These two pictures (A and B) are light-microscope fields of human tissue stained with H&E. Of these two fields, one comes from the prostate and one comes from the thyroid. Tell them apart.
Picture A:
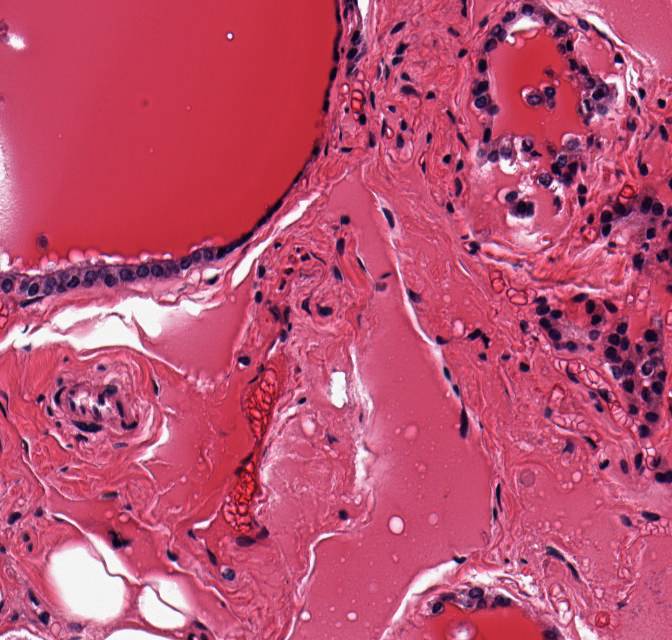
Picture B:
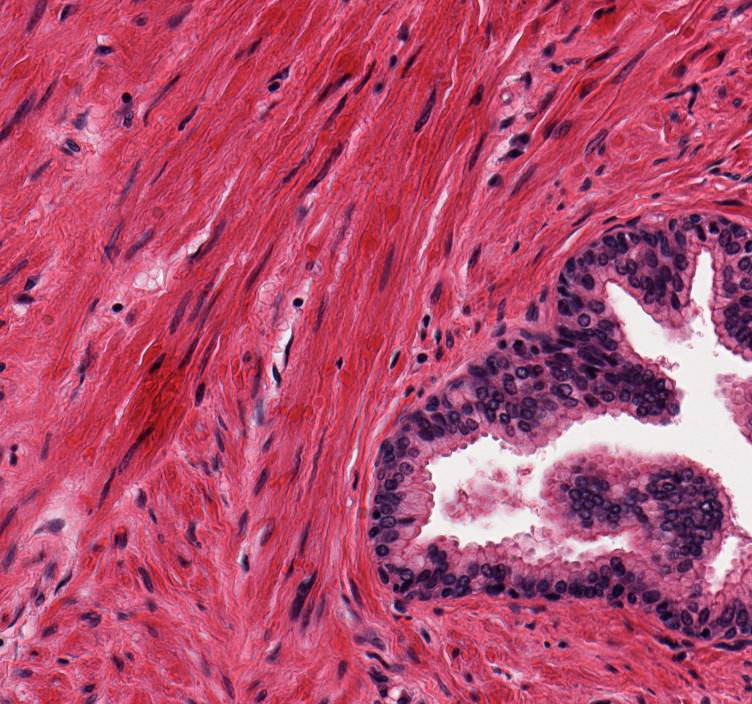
A: thyroid
B: prostate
